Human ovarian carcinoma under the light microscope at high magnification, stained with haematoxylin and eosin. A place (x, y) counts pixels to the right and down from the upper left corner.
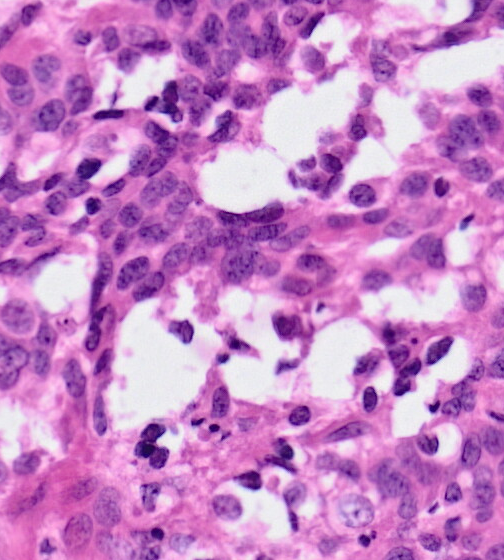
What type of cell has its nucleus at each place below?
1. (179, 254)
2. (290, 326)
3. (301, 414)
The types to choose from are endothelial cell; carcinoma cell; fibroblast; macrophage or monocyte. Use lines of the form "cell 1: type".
cell 1: carcinoma cell
cell 2: carcinoma cell
cell 3: macrophage or monocyte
